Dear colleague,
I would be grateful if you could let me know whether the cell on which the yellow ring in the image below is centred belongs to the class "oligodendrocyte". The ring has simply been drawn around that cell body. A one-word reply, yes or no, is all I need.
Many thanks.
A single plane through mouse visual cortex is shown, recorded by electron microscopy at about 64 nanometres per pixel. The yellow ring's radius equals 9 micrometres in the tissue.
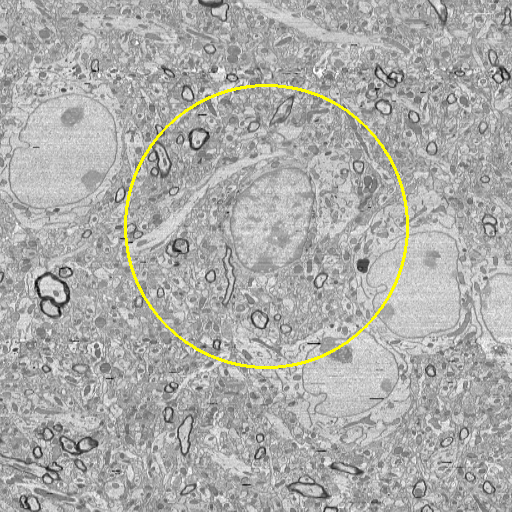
yes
